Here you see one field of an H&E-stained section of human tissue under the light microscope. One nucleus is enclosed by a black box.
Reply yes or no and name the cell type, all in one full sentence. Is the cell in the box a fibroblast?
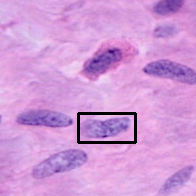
Yes, the cell in the box represents a fibroblast in this tissue.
